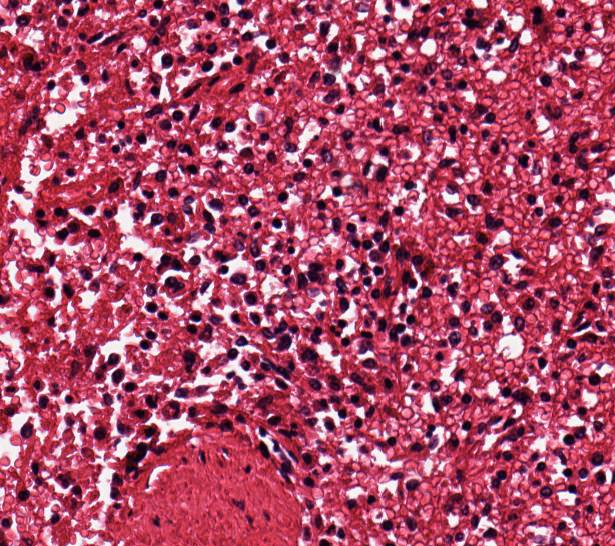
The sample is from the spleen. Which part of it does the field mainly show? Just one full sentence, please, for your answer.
The human tissue part in this section is red pulp.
